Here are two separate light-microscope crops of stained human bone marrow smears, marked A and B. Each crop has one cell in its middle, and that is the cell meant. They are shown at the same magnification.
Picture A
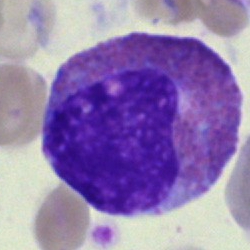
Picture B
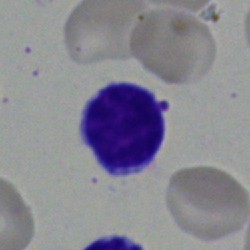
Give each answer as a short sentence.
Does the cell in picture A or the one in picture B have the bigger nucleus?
The nucleus in picture A is larger, with about 3 times the area of the one in picture B.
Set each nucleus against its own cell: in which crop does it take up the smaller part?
It is the cell in picture A that is filled less by its nucleus.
